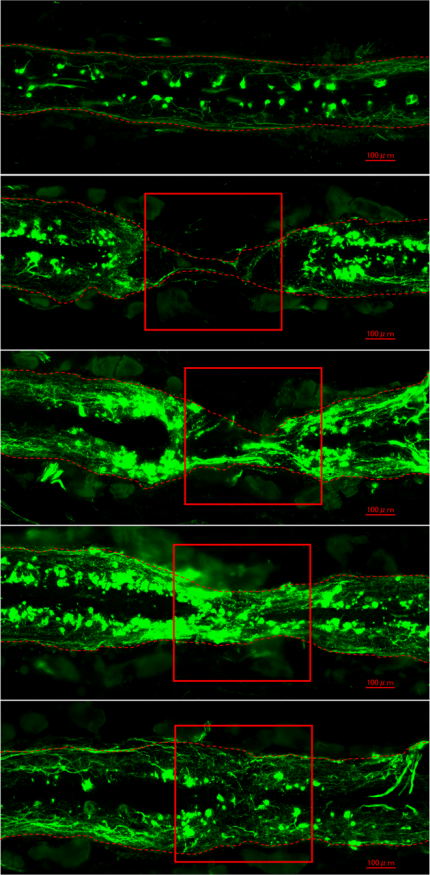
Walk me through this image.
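Longitudinal sections of spinal cord, outlined by red dashed lines, with green fluorescent cell bodies and fibres. In the top image the cord is intact, and small rounded green cell bodies lie spaced along its middle, with thin fibres running lengthwise. In the image below it the cord narrows within the red square and the green signal there is nearly absent, leaving a gap between the labelled stumps.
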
